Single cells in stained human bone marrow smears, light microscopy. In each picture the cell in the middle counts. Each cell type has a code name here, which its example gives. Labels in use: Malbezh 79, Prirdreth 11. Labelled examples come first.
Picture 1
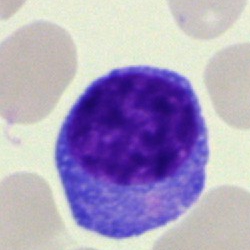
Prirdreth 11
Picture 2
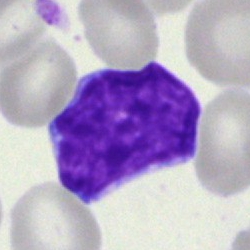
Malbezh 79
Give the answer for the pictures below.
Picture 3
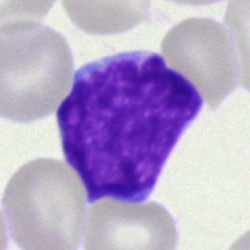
Malbezh 79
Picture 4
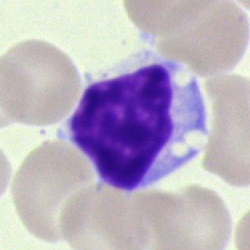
Prirdreth 11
